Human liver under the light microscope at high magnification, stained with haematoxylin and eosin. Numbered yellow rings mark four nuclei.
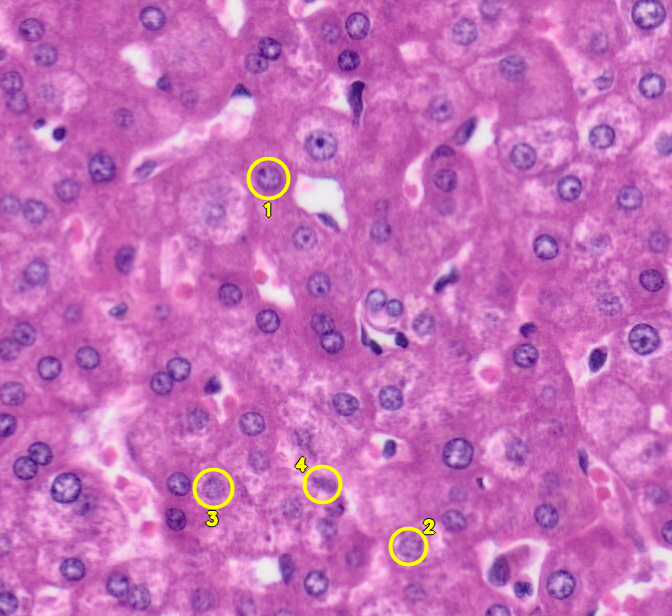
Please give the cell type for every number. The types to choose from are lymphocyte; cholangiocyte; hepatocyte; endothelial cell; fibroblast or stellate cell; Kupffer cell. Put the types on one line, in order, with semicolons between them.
hepatocyte; hepatocyte; hepatocyte; Kupffer cell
